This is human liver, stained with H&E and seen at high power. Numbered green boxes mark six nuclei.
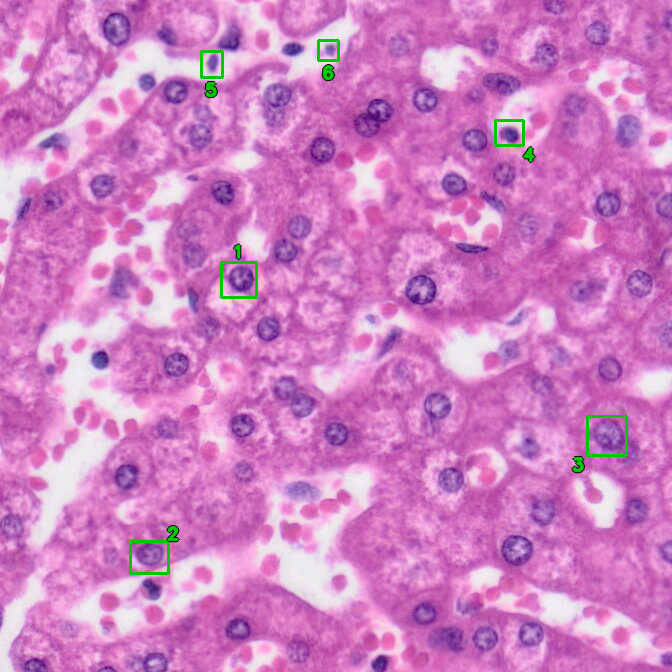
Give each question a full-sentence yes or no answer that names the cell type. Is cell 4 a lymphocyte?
Yes, that is correct: the cell numbered 4 is a lymphocyte.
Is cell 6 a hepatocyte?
No, the cell bearing the number 6 is a lymphocyte, not a hepatocyte.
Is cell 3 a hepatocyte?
Yes, the cell labelled with number 3 is a hepatocyte.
